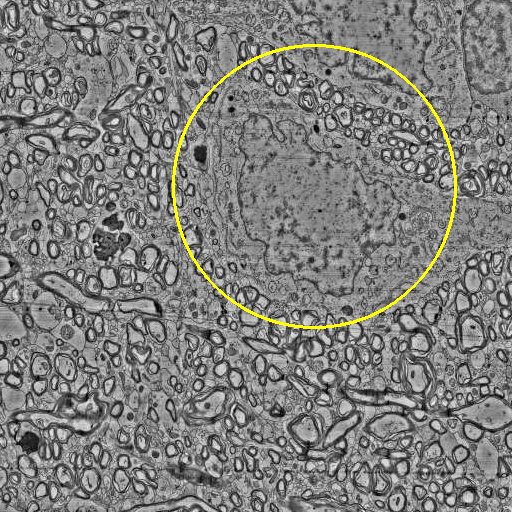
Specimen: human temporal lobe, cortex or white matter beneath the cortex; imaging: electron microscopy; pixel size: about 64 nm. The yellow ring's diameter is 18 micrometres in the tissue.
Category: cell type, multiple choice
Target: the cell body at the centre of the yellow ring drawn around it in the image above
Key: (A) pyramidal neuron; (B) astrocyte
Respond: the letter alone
A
